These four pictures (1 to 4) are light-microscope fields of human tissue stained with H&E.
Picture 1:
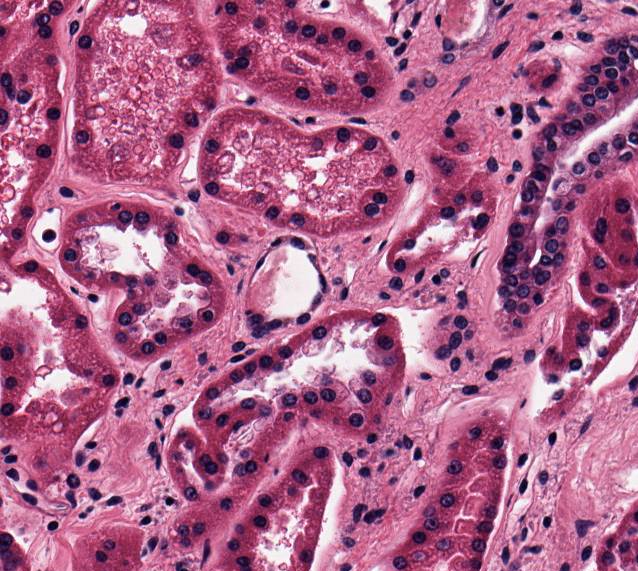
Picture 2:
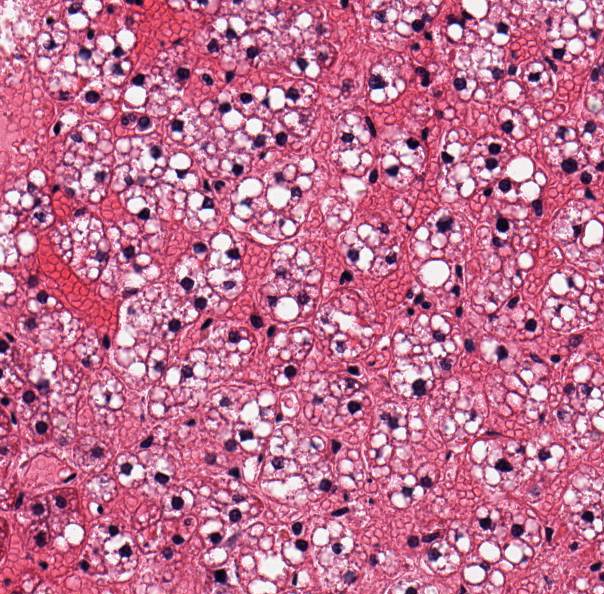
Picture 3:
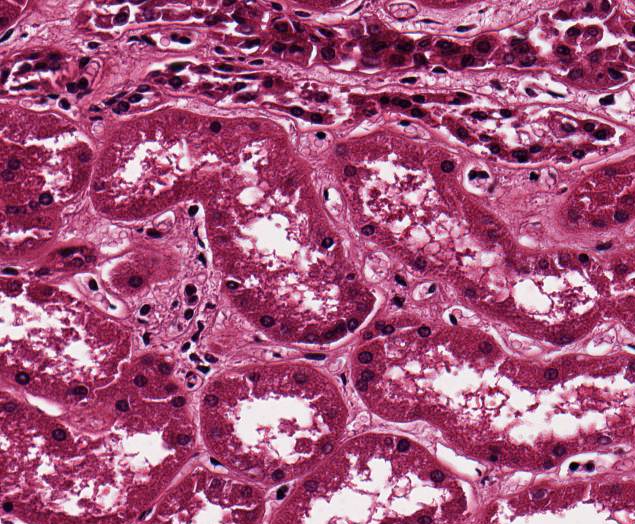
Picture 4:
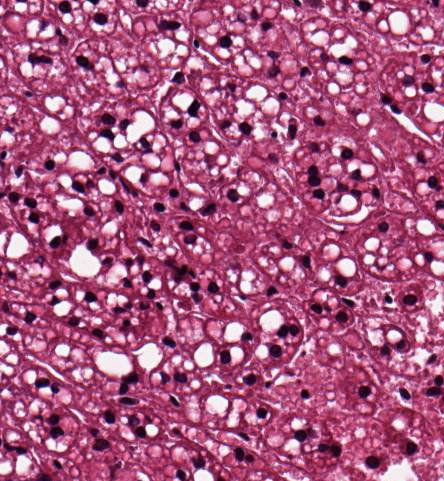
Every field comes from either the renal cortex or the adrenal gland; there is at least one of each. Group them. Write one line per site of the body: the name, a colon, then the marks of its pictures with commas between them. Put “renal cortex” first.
renal cortex: 1, 3
adrenal gland: 2, 4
